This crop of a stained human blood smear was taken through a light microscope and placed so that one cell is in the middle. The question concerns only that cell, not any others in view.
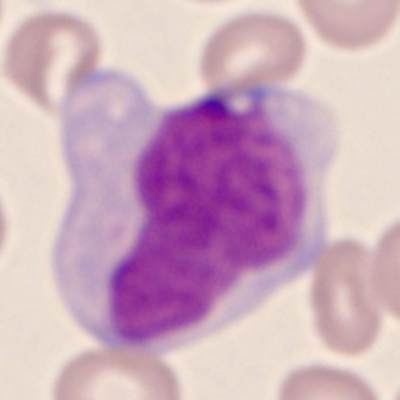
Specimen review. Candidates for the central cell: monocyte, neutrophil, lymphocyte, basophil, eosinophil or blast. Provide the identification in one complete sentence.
The cell in the middle of this crop is a monocyte.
